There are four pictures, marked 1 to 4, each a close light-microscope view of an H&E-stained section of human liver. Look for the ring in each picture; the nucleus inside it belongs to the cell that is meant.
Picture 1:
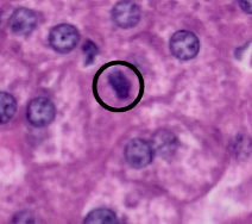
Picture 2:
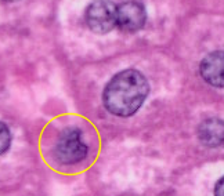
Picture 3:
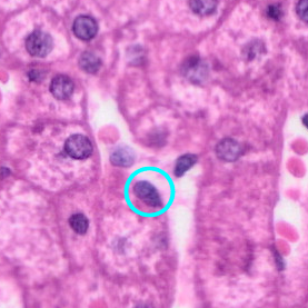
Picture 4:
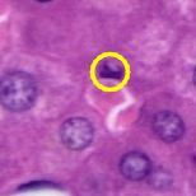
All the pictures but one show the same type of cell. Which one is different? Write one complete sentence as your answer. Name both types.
All pictures except 2 show “fibroblasts or stellate cells”; picture 2 shows an endothelial cell.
